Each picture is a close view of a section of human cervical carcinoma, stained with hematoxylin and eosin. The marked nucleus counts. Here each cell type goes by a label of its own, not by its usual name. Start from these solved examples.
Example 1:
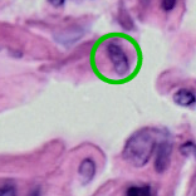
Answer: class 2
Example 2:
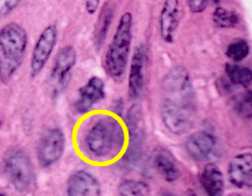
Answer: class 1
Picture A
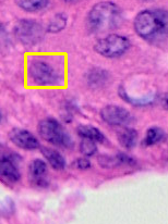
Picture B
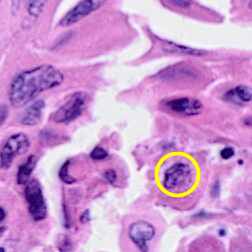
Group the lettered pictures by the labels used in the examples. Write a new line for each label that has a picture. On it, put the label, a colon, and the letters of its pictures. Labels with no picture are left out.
class 2: B
class 1: A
